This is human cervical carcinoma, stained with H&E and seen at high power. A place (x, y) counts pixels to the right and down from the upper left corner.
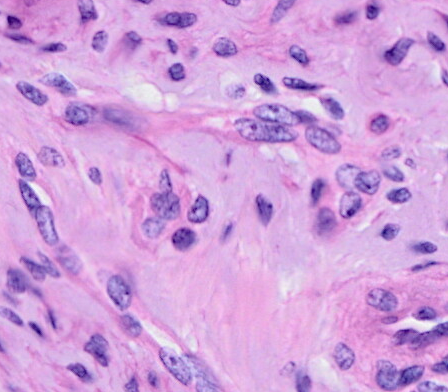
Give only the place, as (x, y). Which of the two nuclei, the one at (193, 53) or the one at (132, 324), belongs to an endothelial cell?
(132, 324)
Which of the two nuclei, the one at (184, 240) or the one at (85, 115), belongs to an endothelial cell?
(85, 115)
